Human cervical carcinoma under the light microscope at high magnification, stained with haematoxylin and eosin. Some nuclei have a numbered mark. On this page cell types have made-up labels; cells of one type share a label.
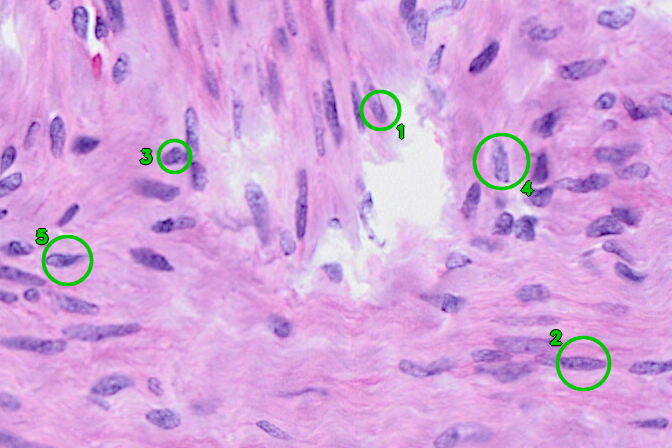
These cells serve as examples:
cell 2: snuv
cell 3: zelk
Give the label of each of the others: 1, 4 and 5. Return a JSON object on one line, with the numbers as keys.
{"1": "snuv", "4": "zelk", "5": "zelk"}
